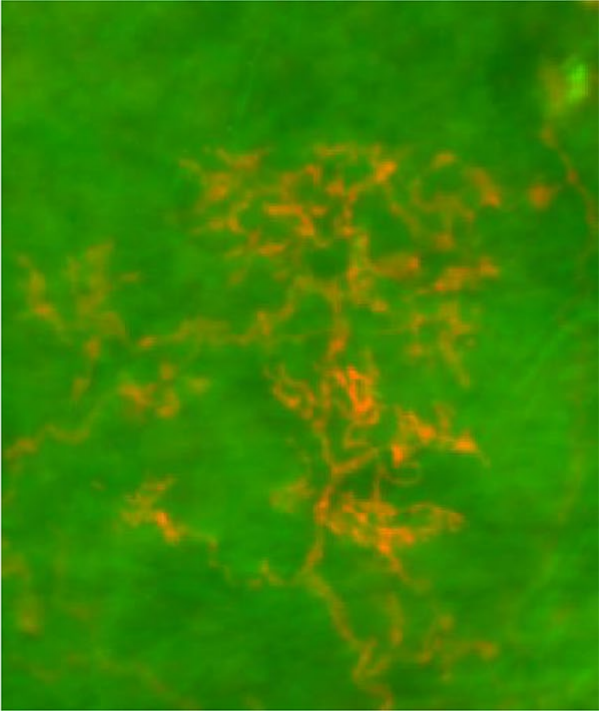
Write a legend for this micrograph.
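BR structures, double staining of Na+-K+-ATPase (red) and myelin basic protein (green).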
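An extended diffuse terminal: a loose network of thin, tortuous red branches with small swellings spread widely over the field. There is no compact dense core, and the branches are set on a uniform green background.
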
